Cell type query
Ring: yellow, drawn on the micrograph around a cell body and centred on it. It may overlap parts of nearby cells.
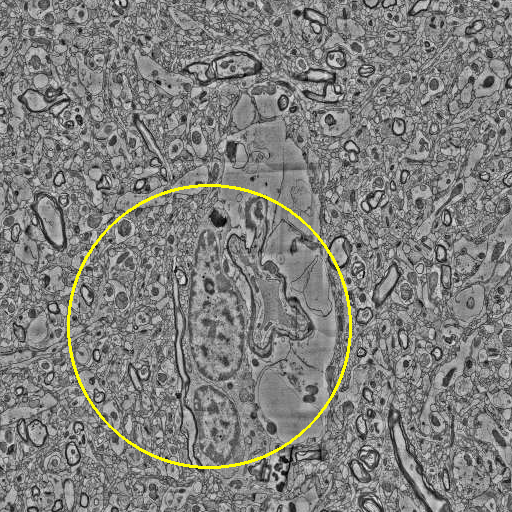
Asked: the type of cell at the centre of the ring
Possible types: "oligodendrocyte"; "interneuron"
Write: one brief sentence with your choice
The ring marks an oligodendrocyte.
